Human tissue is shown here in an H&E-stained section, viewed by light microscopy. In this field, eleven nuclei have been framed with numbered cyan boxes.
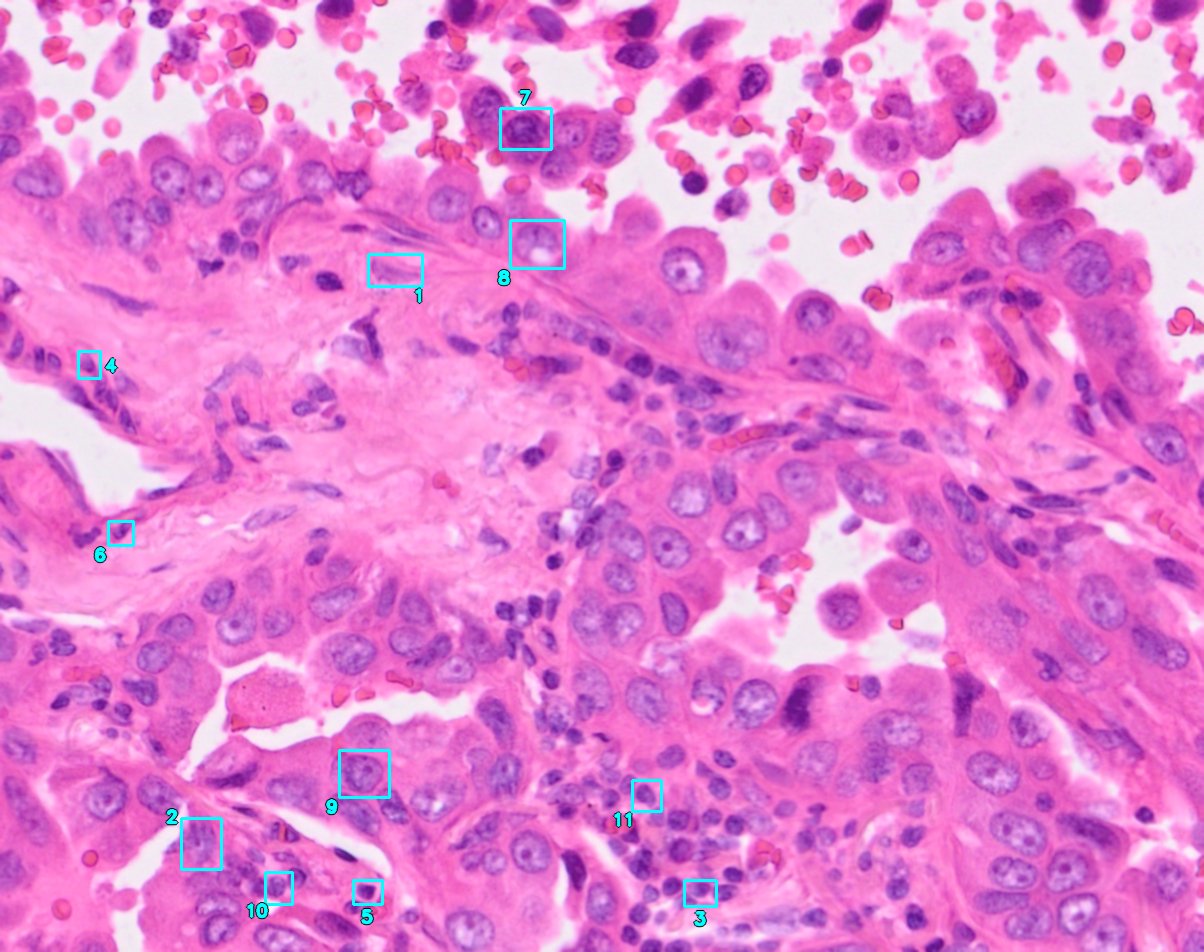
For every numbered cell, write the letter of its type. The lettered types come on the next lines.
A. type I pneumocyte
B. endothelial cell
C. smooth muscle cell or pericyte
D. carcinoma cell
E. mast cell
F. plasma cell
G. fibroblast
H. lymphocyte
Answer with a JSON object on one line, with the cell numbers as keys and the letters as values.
{"1": "G", "2": "D", "3": "H", "4": "C", "5": "H", "6": "C", "7": "D", "8": "D", "9": "D", "10": "H", "11": "H"}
